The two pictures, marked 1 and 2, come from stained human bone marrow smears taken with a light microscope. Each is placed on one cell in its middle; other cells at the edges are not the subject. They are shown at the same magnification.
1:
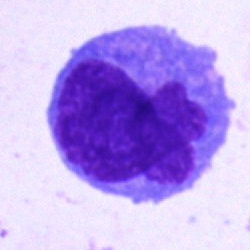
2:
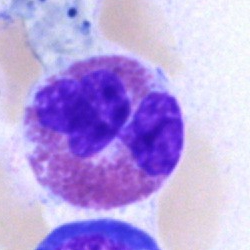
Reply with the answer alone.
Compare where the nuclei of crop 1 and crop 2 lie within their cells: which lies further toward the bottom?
1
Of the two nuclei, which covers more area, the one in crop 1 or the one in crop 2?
1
